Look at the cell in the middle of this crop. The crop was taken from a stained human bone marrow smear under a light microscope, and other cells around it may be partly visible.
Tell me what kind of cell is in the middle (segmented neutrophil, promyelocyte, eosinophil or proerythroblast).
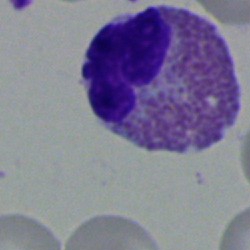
eosinophil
